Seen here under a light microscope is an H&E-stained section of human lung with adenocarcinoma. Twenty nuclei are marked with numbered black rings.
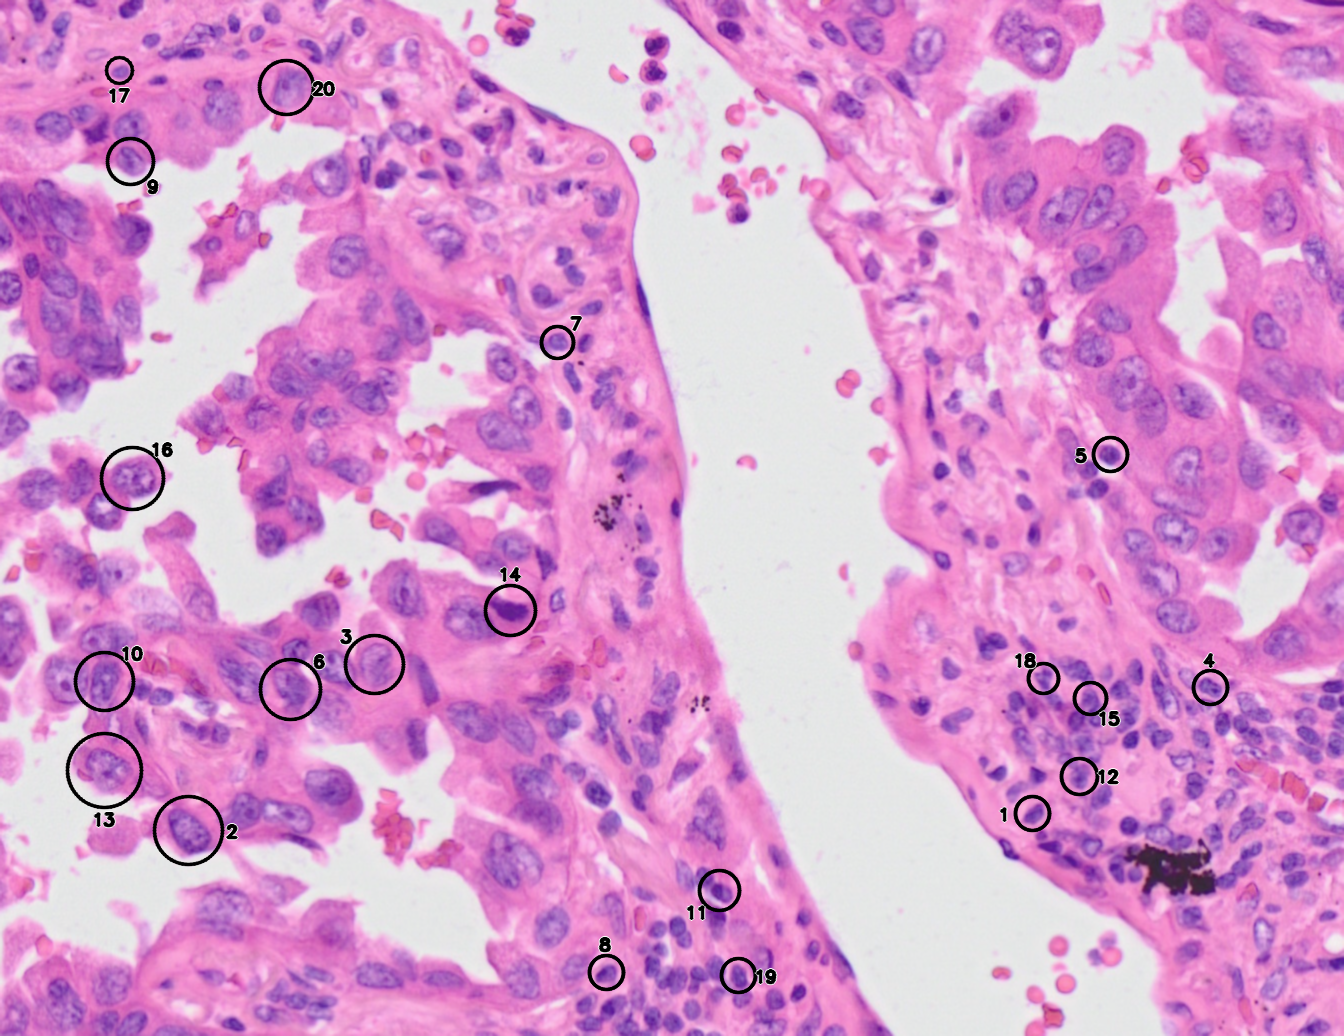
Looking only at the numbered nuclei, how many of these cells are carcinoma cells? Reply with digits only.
9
